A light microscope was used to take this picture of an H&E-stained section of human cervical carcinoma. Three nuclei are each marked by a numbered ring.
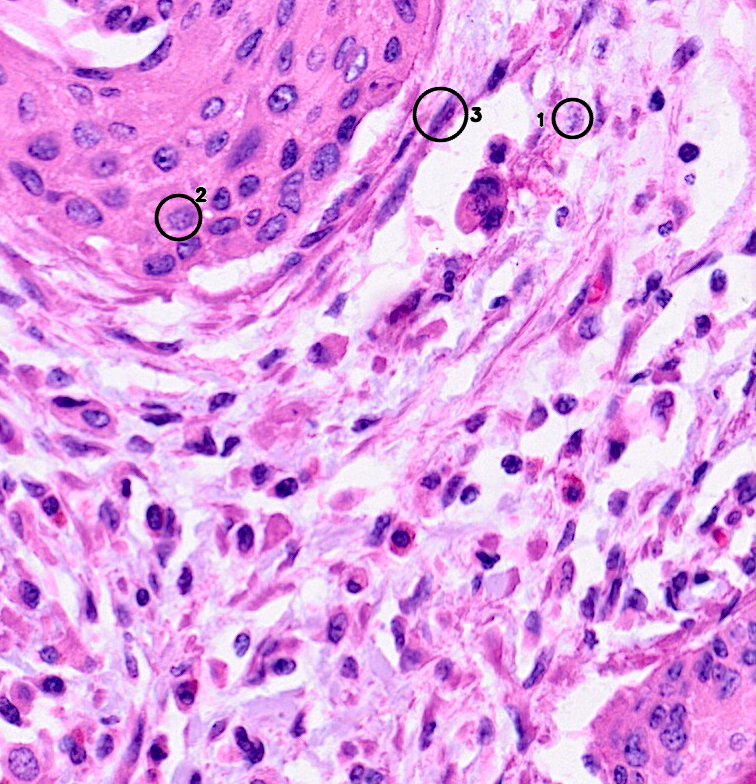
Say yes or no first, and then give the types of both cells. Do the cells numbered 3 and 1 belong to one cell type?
Yes, fibroblasts are what cells 3 and 1 both are.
